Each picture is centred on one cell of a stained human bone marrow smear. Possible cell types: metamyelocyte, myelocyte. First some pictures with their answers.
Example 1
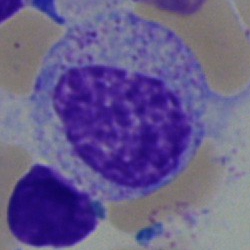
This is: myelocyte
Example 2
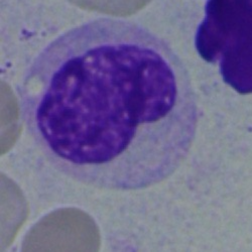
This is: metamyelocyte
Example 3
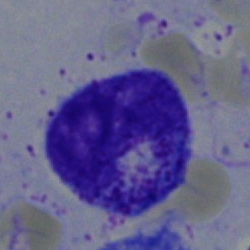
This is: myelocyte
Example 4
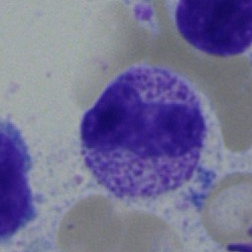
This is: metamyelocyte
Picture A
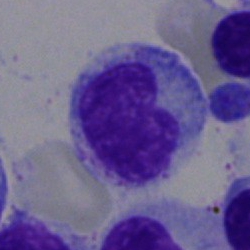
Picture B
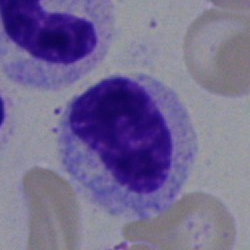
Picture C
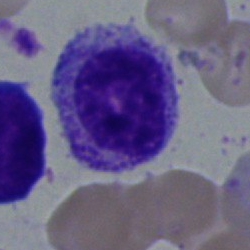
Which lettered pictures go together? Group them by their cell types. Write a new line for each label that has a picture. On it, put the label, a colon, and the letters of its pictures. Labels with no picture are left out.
metamyelocyte: A, B
myelocyte: C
